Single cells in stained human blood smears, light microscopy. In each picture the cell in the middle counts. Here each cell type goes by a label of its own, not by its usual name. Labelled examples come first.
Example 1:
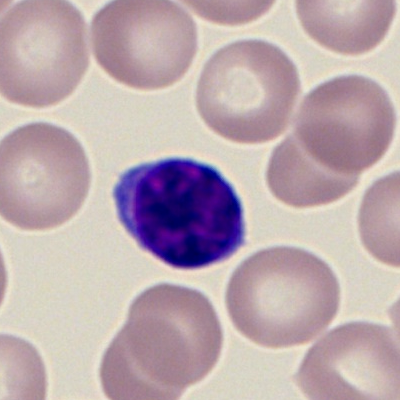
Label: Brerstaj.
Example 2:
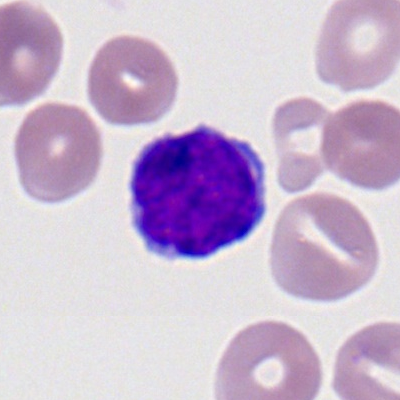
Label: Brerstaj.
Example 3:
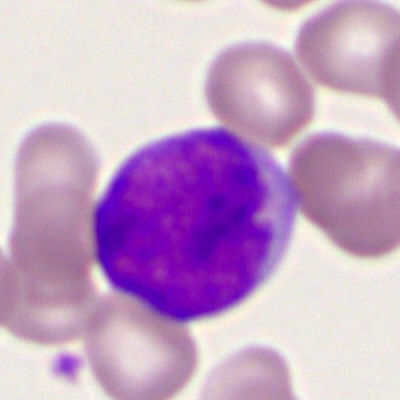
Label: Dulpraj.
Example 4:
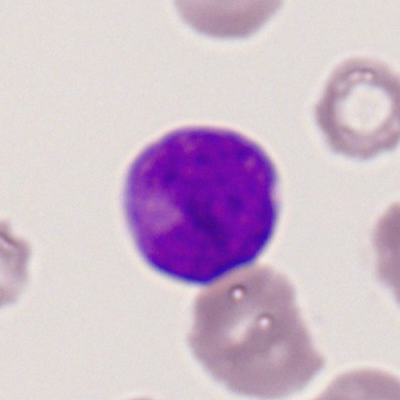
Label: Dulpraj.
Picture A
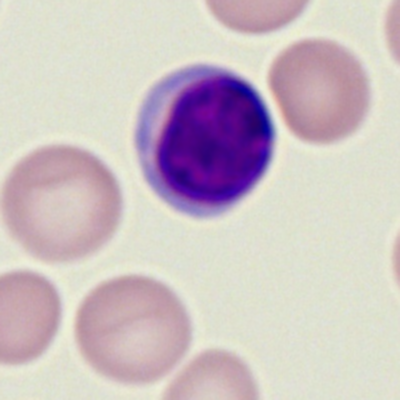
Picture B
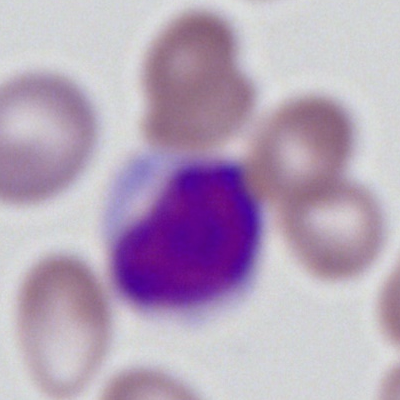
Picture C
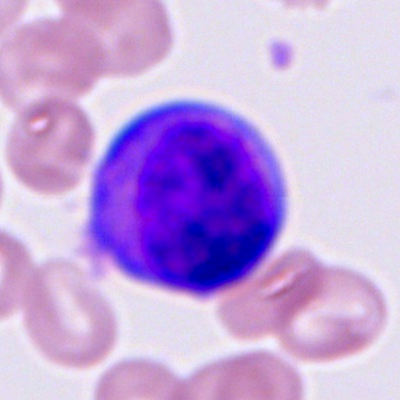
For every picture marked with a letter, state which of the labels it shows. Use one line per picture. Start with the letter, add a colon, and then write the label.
A: Brerstaj.
B: Brerstaj.
C: Dulpraj.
